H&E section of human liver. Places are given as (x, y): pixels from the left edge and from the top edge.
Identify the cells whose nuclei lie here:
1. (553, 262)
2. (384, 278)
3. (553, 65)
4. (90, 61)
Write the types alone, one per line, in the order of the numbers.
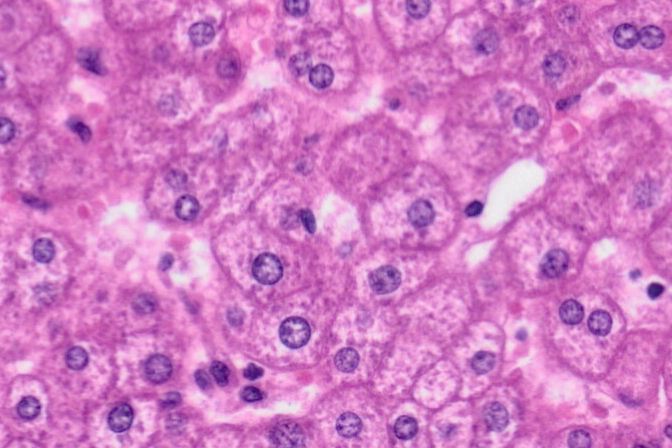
hepatocyte
hepatocyte
hepatocyte
endothelial cell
